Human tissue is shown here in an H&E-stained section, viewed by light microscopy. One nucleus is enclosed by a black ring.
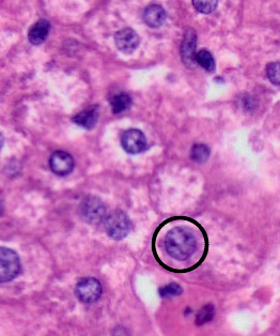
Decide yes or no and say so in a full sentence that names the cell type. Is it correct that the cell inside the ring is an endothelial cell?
No, the cell inside the ring is not an endothelial cell, being instead a hepatocyte.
